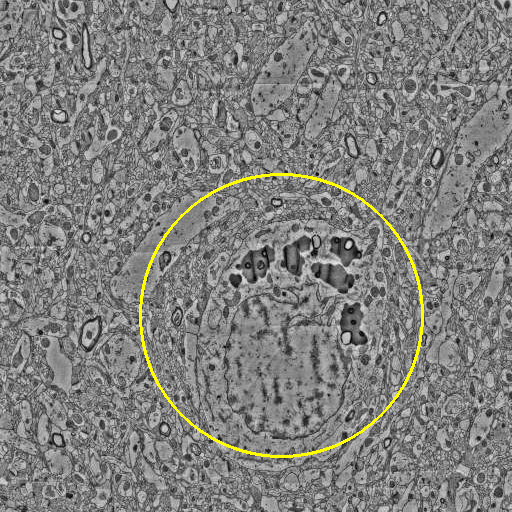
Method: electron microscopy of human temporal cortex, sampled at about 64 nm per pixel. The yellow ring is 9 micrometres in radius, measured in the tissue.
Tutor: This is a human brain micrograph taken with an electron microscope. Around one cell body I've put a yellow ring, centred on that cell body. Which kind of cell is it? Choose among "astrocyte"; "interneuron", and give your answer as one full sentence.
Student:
Going by your list, the cell centred in the yellow ring is an interneuron.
